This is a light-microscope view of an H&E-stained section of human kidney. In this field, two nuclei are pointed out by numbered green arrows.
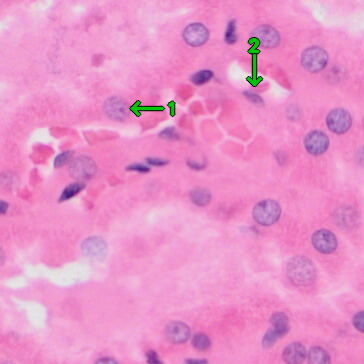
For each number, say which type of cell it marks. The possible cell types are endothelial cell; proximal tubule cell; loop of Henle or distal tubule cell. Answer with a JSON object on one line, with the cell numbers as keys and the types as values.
{"1": "proximal tubule cell", "2": "endothelial cell"}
